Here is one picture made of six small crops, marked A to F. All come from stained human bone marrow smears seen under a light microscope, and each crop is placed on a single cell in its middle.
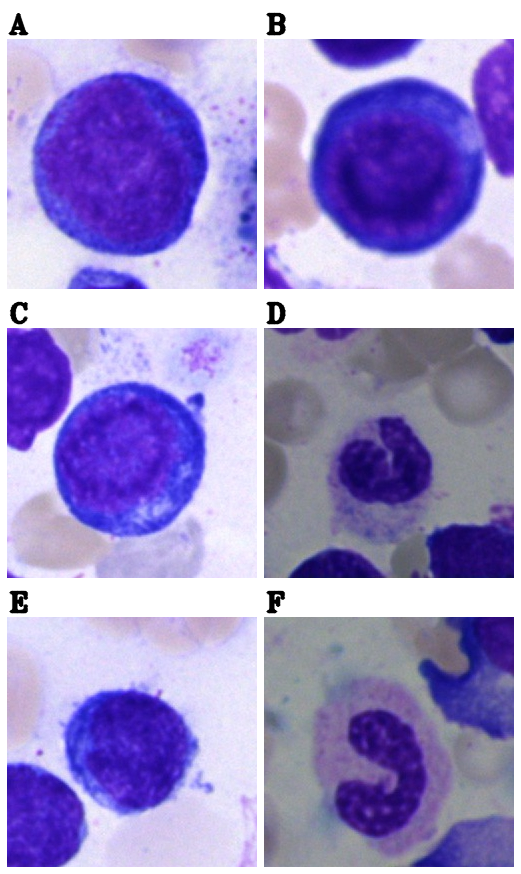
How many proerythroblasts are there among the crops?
3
